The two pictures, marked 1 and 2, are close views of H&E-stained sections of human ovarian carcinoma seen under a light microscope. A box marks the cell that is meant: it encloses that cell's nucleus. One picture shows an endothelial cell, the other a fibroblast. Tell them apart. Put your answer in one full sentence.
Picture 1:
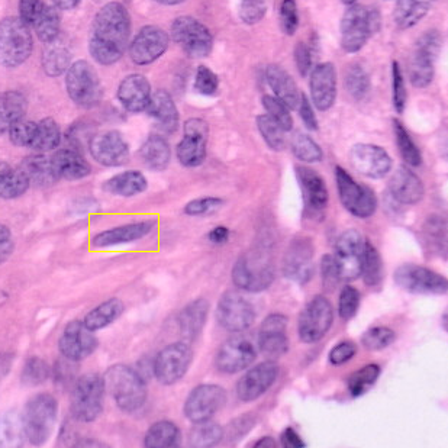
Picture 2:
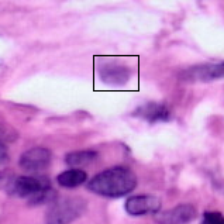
Picture 1 is of an endothelial cell, and picture 2 is of a fibroblast.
